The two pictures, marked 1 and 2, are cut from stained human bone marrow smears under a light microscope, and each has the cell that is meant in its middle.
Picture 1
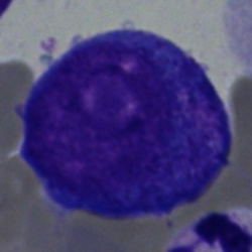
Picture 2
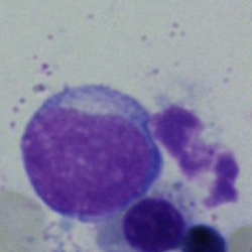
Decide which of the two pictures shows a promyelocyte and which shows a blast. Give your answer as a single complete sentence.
The cell in picture 1 is a promyelocyte, and the one in picture 2 is a blast.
